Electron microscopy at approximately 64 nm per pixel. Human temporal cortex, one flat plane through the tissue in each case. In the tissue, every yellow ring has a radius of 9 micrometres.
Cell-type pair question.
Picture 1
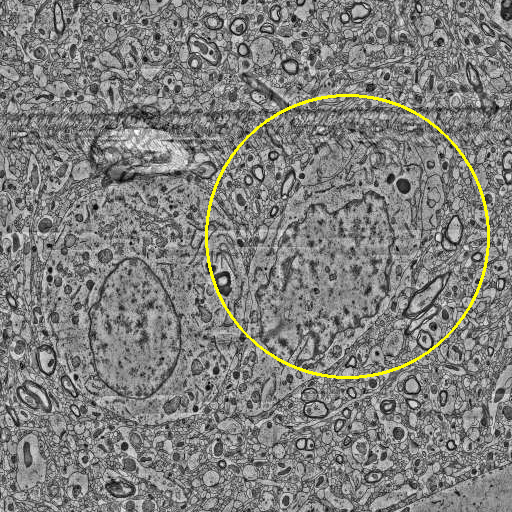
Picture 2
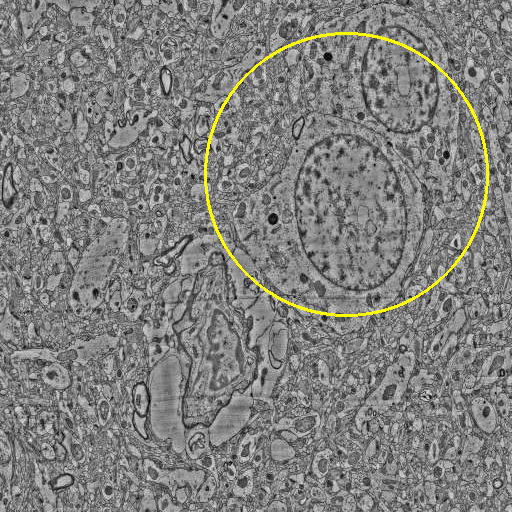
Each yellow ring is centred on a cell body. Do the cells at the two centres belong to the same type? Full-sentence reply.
No, the two cells belong to two types.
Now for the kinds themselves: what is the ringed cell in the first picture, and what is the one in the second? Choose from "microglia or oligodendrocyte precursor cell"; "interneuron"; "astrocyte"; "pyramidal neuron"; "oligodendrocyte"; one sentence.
Here the first cell is an interneuron and the second cell is a pyramidal neuron.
